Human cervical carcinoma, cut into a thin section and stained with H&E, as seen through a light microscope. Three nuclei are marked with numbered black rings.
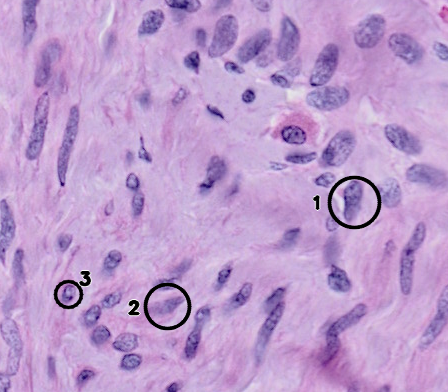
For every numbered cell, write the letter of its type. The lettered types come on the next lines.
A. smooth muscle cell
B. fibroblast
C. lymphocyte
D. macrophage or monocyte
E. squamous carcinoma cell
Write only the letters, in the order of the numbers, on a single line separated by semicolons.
B; A; A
